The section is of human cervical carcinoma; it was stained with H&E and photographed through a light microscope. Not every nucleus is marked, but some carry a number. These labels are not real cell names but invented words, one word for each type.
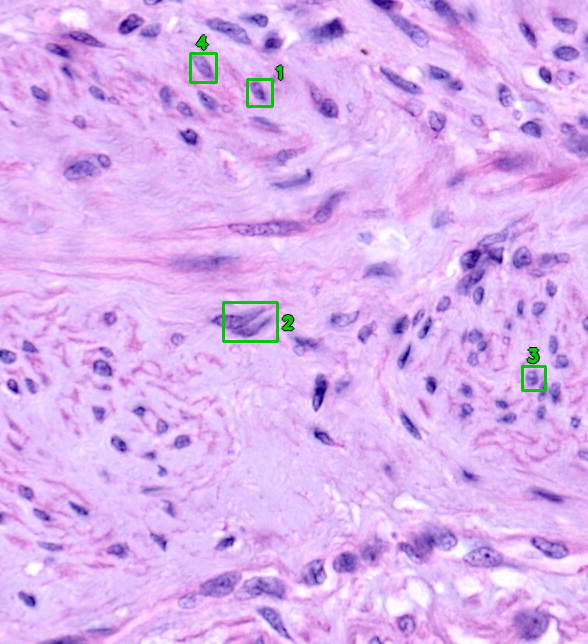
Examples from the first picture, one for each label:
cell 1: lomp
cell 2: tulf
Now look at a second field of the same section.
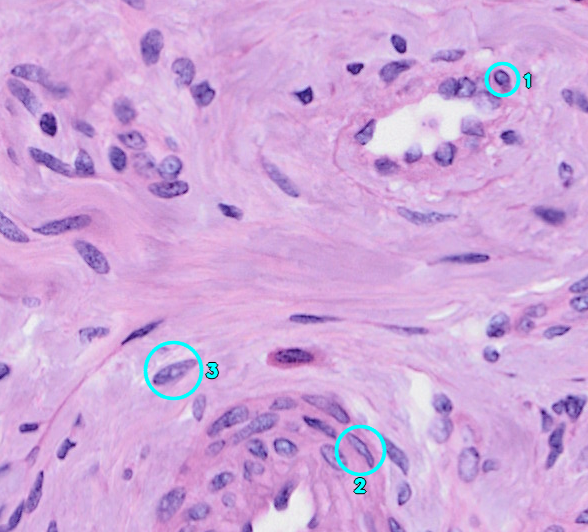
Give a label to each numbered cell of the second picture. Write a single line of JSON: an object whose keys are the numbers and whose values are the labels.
{"1": "lomp", "2": "lomp", "3": "tulf"}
